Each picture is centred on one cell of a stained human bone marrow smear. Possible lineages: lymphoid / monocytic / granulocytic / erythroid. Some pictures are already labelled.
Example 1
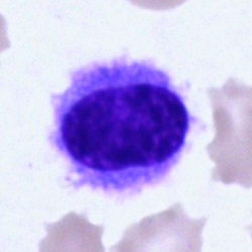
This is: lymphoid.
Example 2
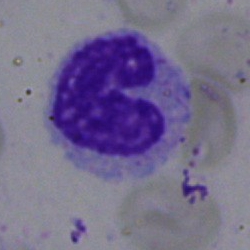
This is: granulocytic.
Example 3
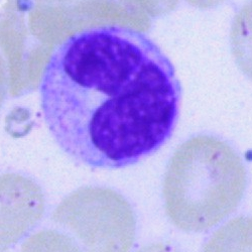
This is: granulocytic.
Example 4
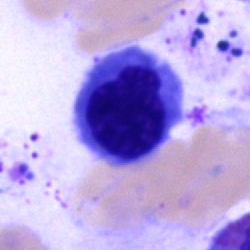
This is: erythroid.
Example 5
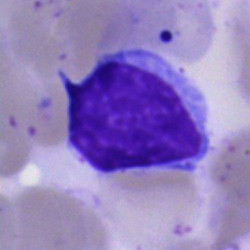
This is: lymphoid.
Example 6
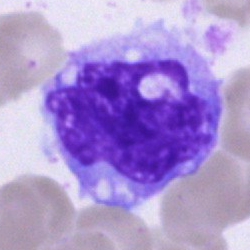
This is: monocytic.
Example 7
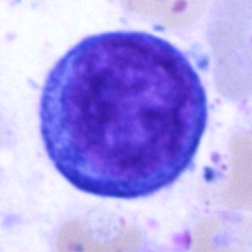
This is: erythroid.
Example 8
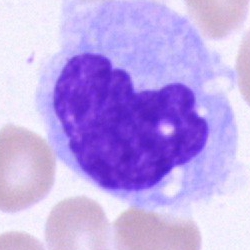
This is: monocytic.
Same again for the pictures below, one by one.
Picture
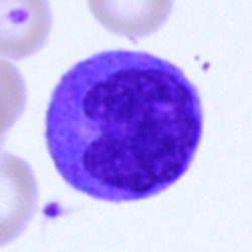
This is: monocytic.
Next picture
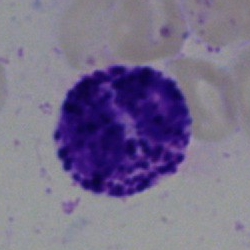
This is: granulocytic.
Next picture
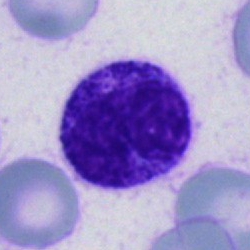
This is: granulocytic.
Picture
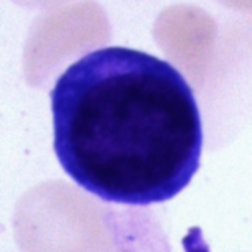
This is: erythroid.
